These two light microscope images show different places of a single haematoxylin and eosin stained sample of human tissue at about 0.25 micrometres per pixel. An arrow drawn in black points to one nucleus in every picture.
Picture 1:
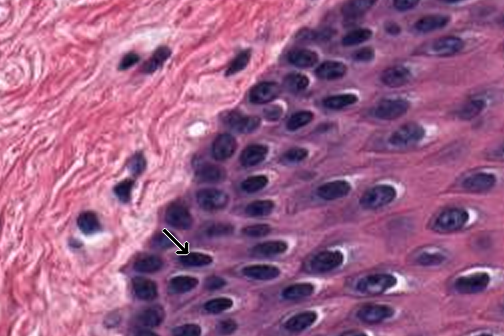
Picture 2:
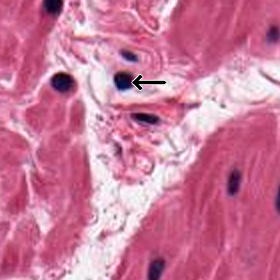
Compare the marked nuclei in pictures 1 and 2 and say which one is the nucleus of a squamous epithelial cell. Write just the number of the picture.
1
